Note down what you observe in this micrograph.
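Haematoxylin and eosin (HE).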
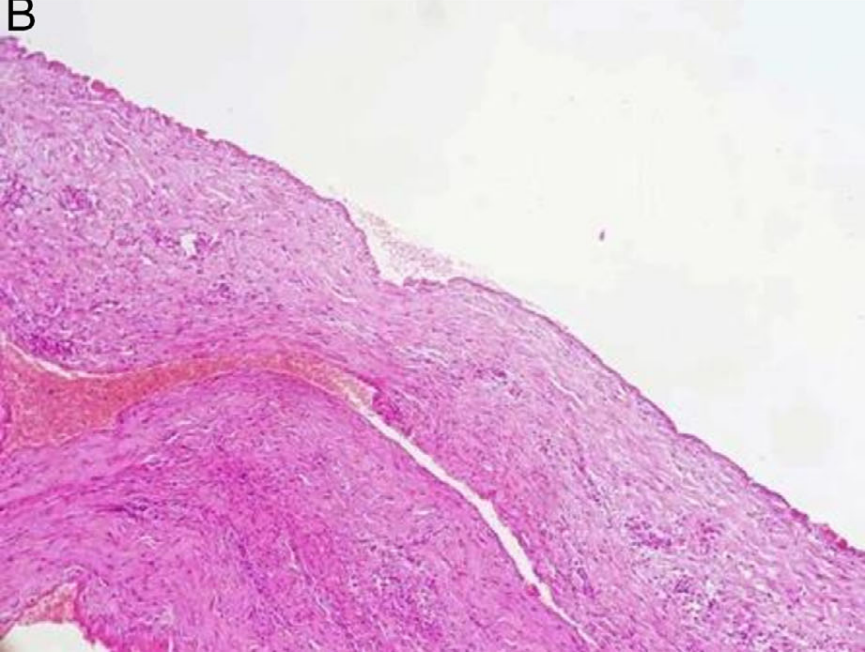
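A band of pink-staining fibrous tissue runs diagonally across the field and faces a large, empty, clear space along its upper edge. Beneath the lining, the wall consists of wavy pink collagenous stroma with scattered spindle-shaped nuclei and some small vessels. A narrow slit-like cleft runs through the deeper wall, and beside it lies a pool of orange-red red blood cells.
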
